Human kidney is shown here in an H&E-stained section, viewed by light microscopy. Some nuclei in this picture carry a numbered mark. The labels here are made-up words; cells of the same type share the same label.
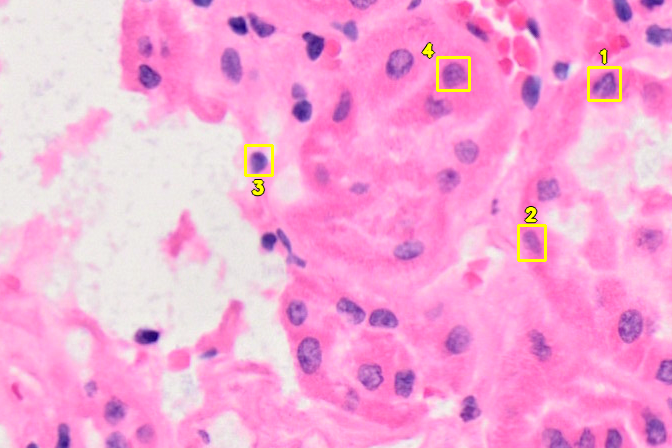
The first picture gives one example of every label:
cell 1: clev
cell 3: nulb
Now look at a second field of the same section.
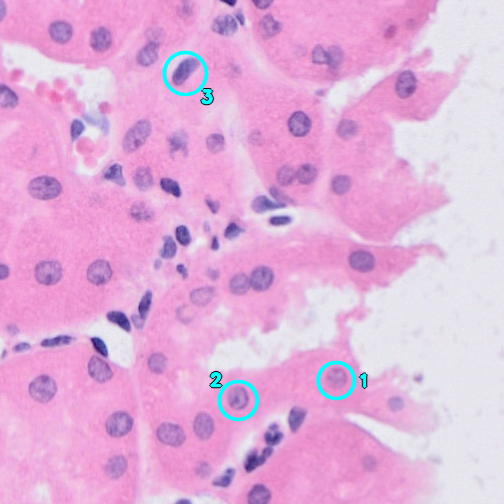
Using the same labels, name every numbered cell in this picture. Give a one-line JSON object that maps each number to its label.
{"1": "clev", "2": "clev", "3": "nulb"}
